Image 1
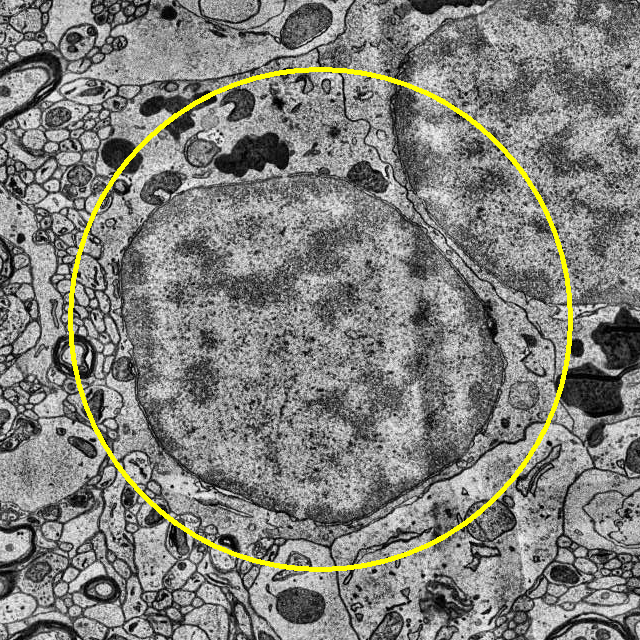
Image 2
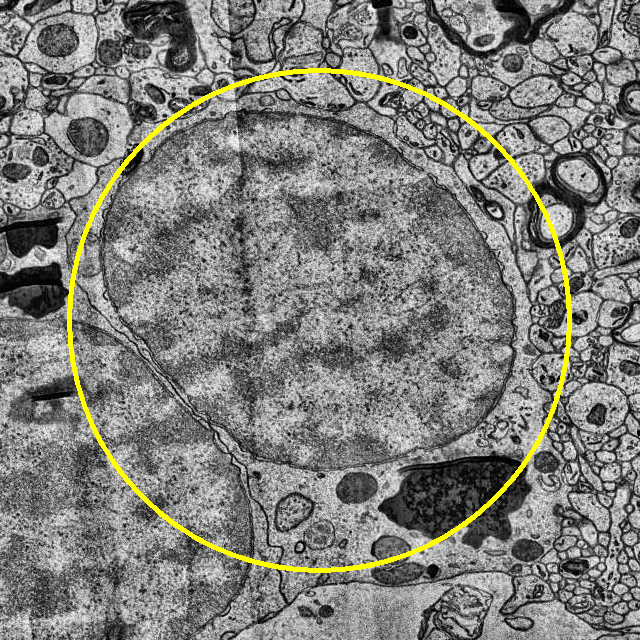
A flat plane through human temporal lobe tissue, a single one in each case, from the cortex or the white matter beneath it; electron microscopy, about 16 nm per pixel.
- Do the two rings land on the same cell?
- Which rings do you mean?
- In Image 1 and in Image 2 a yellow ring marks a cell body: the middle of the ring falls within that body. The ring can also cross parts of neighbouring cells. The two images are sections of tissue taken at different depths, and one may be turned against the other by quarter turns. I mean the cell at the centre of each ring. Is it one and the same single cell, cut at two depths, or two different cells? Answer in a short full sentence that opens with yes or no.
Yes, one single cell is under each of the two rings.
